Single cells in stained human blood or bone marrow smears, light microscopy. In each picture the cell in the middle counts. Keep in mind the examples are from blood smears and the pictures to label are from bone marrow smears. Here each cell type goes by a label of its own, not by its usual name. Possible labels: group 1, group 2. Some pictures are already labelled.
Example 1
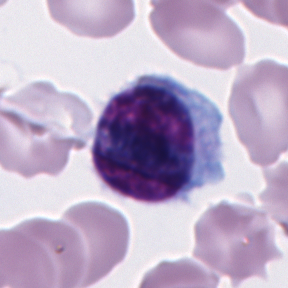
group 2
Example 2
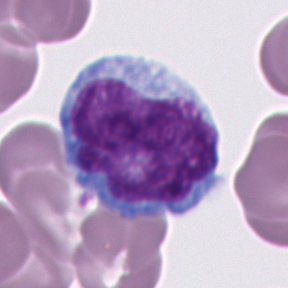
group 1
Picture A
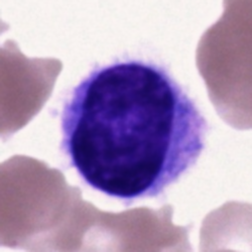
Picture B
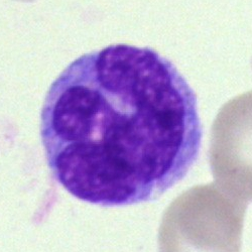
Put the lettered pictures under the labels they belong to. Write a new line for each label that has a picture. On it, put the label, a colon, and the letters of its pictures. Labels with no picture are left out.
group 1: B
group 2: A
